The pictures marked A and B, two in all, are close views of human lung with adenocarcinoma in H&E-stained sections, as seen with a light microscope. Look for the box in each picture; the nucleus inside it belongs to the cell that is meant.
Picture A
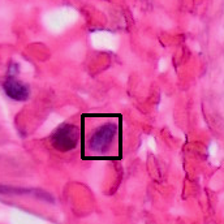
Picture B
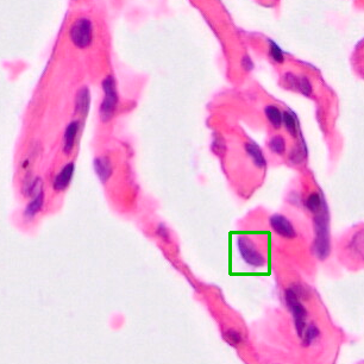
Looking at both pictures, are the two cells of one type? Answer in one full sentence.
Yes, both cells are type I pneumocytes.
